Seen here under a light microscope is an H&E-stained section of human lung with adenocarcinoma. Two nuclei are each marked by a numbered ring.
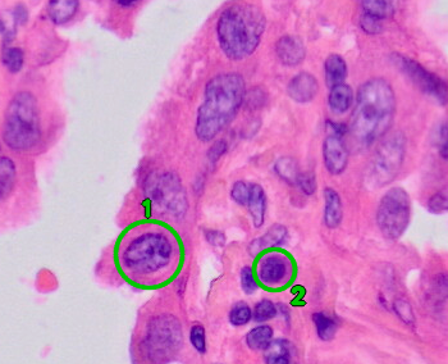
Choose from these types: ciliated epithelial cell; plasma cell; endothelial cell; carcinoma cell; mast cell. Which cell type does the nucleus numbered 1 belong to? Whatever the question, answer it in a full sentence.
At number 1, the marked cell is a carcinoma cell.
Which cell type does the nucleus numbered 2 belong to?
The numbered cell 2 in this field is a plasma cell.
